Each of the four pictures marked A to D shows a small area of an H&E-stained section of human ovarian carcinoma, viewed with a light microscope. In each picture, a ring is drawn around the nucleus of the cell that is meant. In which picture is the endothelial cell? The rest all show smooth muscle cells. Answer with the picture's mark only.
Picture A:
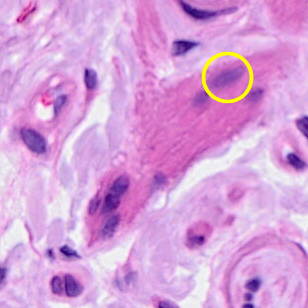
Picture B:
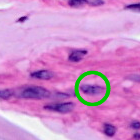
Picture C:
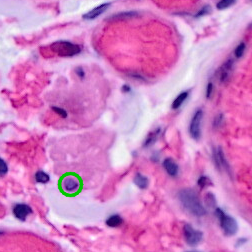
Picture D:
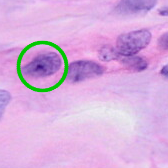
D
